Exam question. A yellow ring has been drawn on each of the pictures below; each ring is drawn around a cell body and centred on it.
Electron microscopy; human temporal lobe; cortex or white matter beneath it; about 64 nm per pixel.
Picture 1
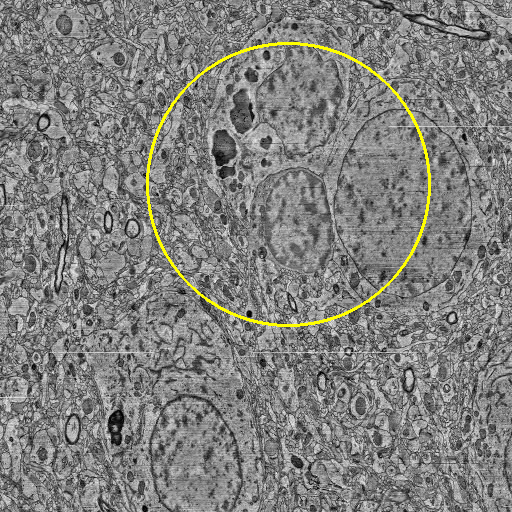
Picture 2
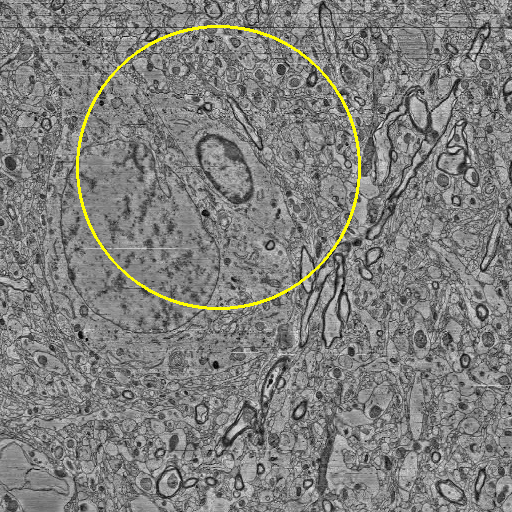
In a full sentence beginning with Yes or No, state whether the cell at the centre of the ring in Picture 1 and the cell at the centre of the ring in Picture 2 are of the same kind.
No, the cells are of two kinds.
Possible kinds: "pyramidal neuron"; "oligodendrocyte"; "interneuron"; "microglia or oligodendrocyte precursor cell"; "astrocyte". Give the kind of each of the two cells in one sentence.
The cell in the second picture is a microglial cell or oligodendrocyte precursor cell, and that in the first is an oligodendrocyte.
